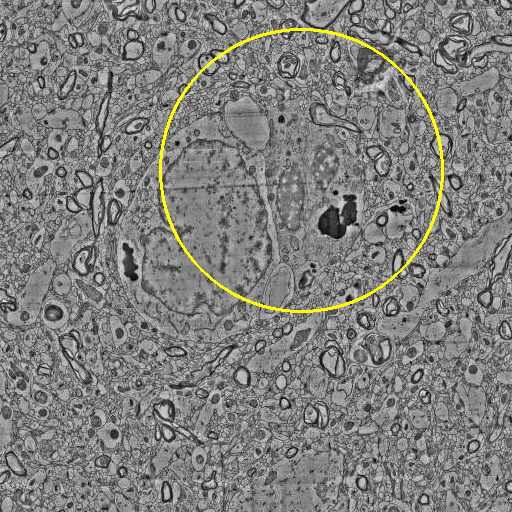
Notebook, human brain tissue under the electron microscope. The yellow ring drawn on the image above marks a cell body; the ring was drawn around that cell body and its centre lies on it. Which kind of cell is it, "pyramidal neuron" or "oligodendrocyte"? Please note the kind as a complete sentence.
The marked cell body is that of an oligodendrocyte.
